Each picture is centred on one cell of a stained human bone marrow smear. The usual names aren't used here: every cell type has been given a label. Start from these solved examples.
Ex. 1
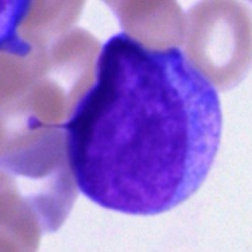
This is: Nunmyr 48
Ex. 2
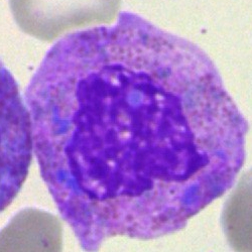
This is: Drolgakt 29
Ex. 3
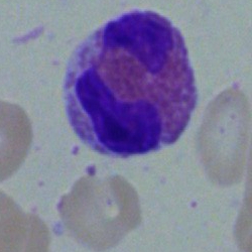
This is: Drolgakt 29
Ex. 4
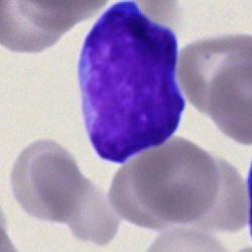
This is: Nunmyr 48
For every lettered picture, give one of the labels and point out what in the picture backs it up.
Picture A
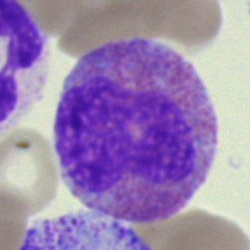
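Drolgakt 29. Reason: The chromatin is dark purple and coarsely clumped.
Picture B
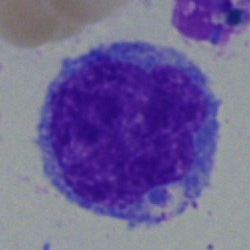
Nunmyr 48. Reason: The chromatin is finely stippled with small paler patches rather than packed into coarse dark blocks.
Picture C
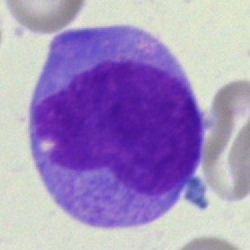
Nunmyr 48. Reason: The nucleus fills most of the cell.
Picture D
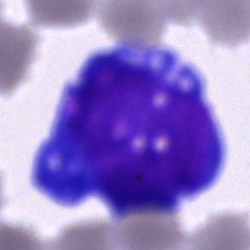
Nunmyr 48. Reason: The dark purple nuclear area fills most of the cell.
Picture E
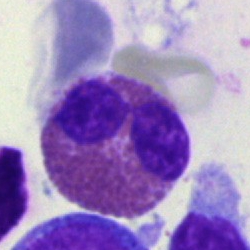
Drolgakt 29. Reason: The cytoplasm is abundant and pinkish-purple.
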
